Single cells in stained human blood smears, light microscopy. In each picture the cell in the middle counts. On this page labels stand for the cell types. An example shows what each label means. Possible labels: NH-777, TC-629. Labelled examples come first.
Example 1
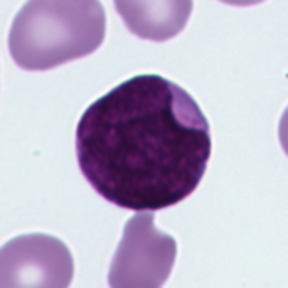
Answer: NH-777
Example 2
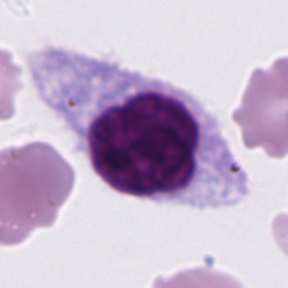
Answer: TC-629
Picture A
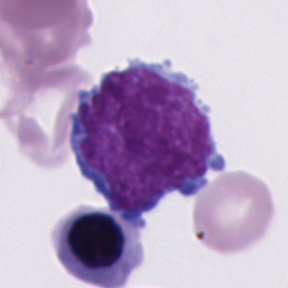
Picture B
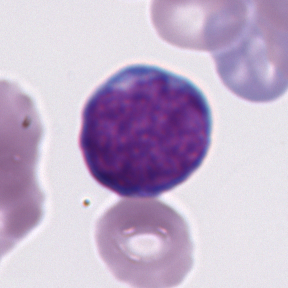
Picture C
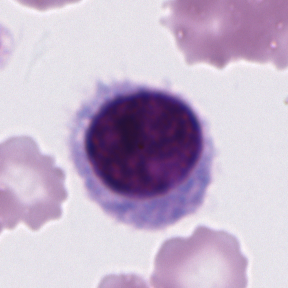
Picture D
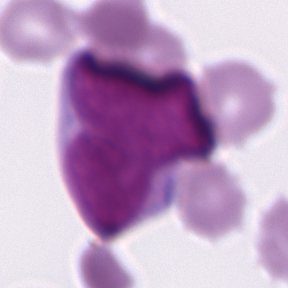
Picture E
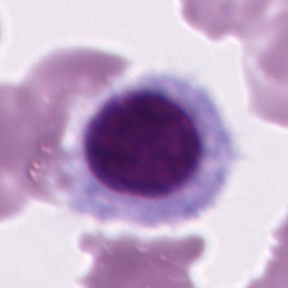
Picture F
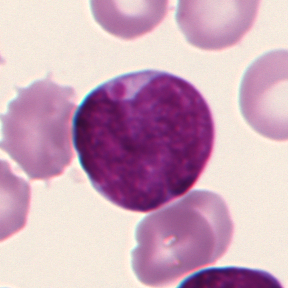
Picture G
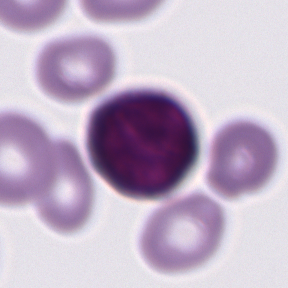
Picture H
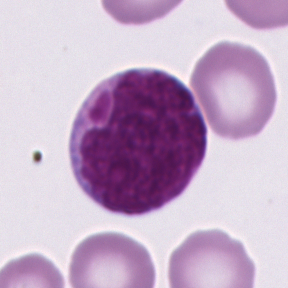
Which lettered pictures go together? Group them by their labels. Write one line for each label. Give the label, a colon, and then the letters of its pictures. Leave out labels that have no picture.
NH-777: A, B, D, F, G, H
TC-629: C, E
